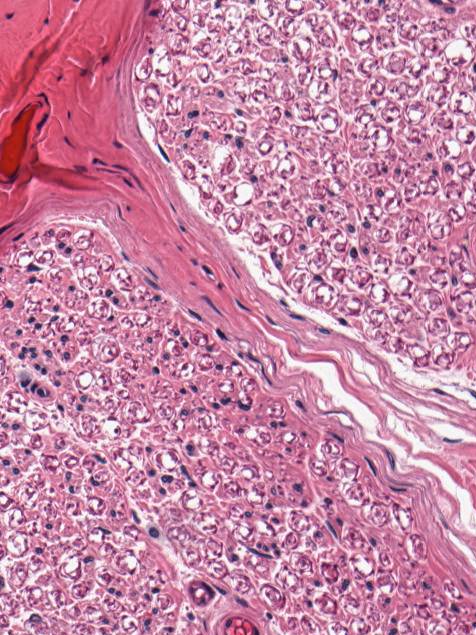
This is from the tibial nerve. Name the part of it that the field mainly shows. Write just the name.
nerve fascicle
